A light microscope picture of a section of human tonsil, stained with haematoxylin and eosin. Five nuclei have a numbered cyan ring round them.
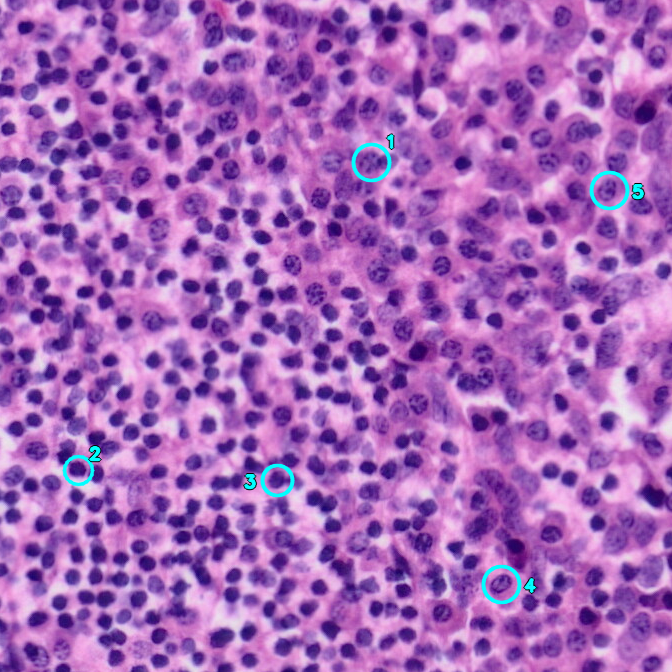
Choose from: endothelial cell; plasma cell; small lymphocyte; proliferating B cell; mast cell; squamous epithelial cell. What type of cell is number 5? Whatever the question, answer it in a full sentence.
The cell referenced by the number 5 is a plasma cell in this field.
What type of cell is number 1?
The cell assigned the number 1 is a plasma cell.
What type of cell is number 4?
The cell carrying label 4 is identified as a plasma cell.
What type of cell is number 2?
Cell 2, as marked in the section, is a small lymphocyte.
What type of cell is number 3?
In the tissue shown, cell 3 is a small lymphocyte.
